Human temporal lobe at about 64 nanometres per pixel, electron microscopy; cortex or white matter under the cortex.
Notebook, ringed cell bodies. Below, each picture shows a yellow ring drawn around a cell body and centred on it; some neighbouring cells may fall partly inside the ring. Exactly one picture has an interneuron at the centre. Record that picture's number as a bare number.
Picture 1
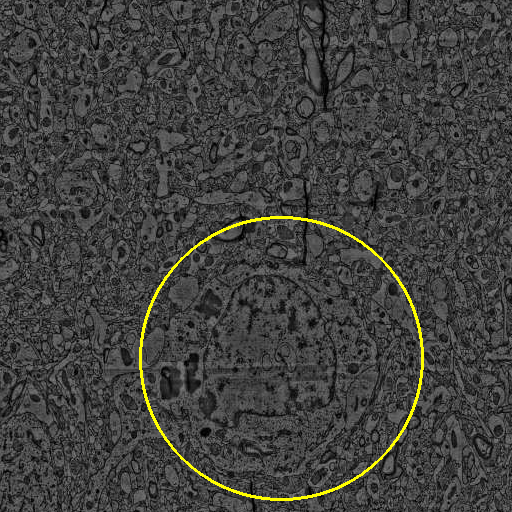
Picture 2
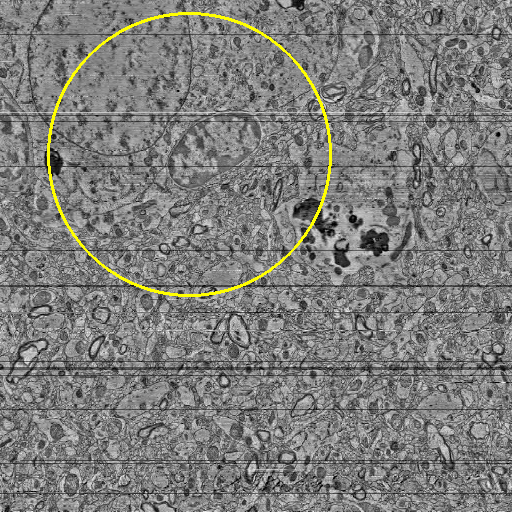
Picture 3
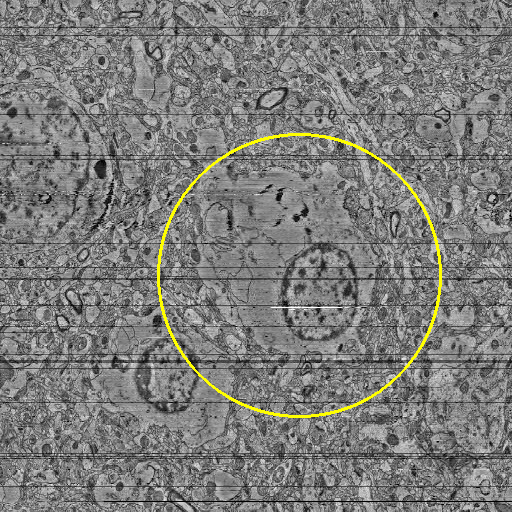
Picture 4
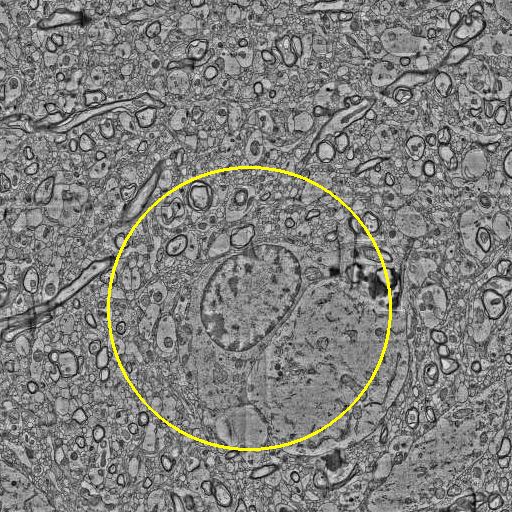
1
